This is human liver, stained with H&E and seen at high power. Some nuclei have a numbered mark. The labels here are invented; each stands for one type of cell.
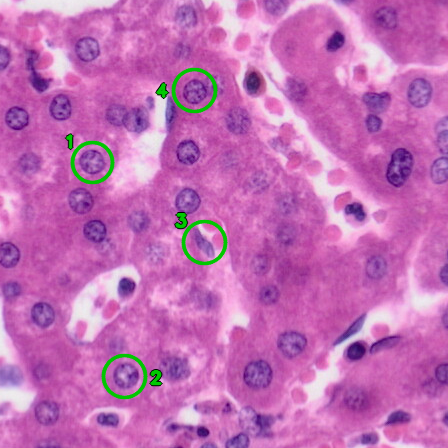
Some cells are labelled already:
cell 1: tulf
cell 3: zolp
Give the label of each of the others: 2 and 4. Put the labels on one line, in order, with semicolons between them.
tulf; tulf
